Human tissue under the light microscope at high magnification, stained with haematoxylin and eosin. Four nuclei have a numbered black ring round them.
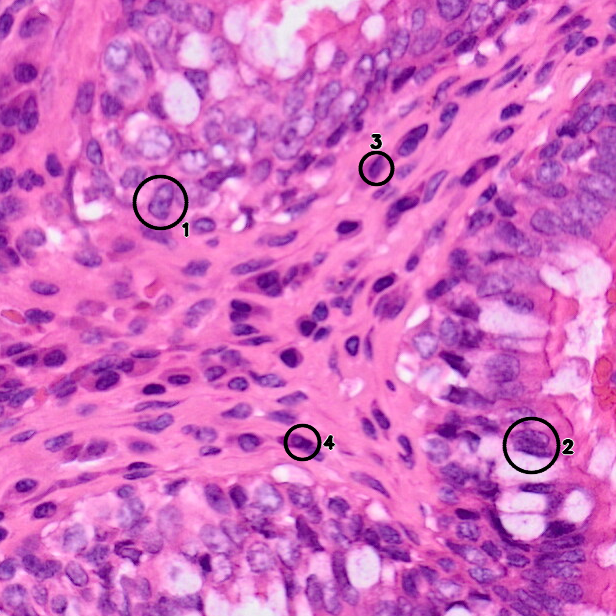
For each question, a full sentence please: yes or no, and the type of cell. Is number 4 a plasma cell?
Yes, cell number 4 is identified here as a plasma cell.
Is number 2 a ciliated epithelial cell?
Yes, the cell that is numbered 2 is a ciliated epithelial cell.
